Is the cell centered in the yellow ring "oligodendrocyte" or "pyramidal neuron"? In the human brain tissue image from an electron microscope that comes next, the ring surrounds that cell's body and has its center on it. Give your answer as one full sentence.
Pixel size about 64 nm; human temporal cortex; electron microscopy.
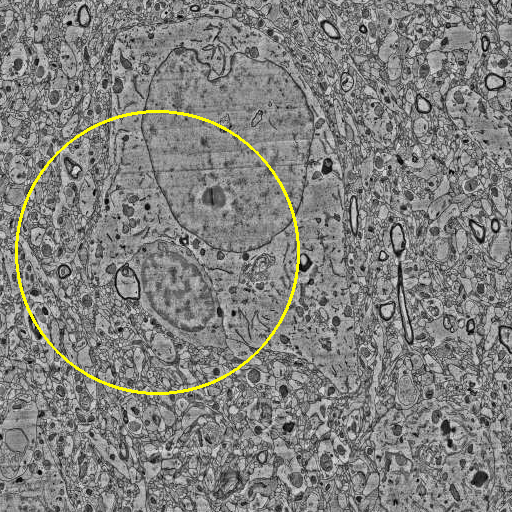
The cell at the center of the yellow ring is an oligodendrocyte in the micrograph.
